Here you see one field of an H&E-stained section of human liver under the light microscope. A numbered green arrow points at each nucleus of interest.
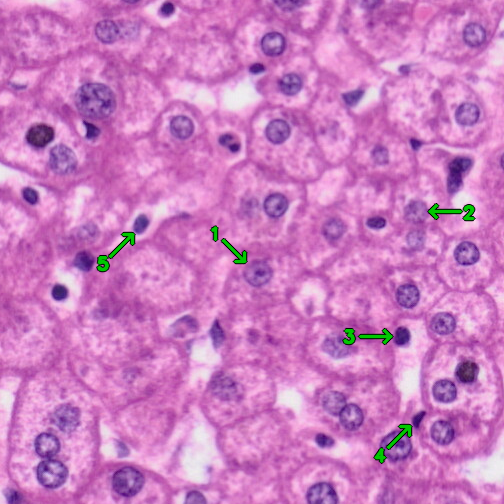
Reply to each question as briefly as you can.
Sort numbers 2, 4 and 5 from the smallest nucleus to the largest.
4, 5, 2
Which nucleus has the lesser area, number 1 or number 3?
3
